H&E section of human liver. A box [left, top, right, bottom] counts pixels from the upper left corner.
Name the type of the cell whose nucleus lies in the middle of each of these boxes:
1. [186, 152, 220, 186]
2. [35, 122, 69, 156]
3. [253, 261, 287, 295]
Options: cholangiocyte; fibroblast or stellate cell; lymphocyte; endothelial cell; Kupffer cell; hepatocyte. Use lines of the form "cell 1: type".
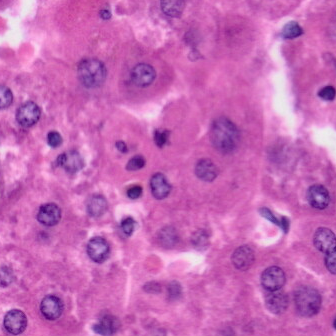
cell 1: hepatocyte
cell 2: lymphocyte
cell 3: hepatocyte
